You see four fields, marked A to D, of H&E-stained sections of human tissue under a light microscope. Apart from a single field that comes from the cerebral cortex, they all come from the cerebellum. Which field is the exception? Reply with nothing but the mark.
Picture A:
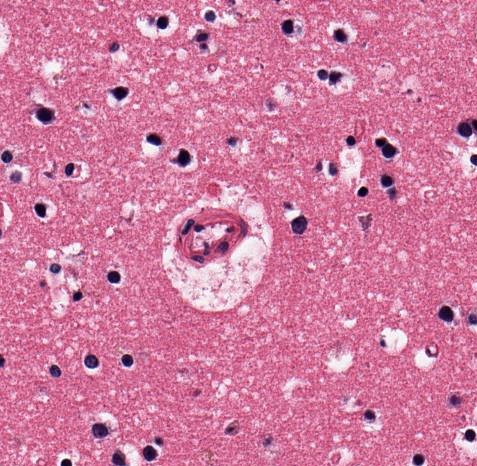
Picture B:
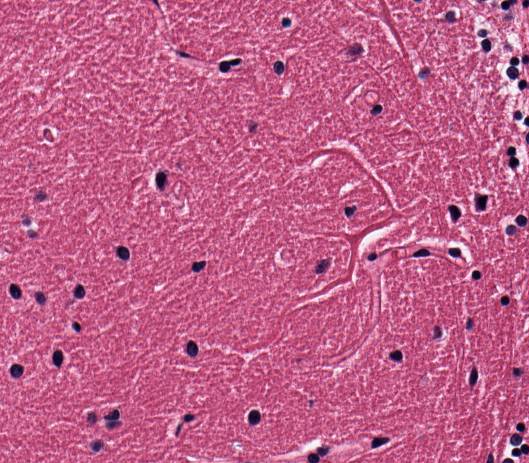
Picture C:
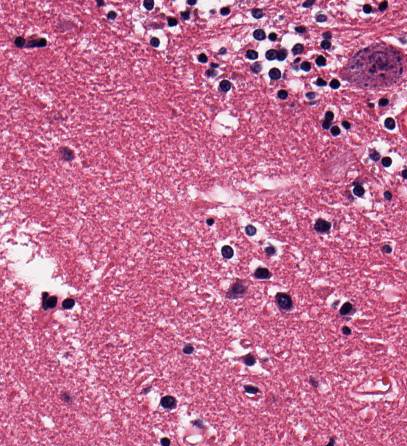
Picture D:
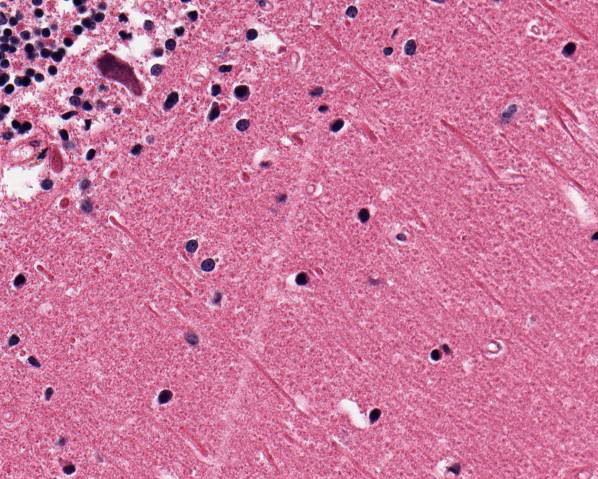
A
